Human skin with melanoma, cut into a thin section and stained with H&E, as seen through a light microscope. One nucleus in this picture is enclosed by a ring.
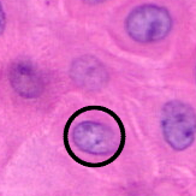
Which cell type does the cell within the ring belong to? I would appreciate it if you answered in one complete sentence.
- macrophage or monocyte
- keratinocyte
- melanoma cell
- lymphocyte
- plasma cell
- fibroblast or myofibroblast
For the purposes of cell typing, the cell within the ring is categorized as a keratinocyte.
